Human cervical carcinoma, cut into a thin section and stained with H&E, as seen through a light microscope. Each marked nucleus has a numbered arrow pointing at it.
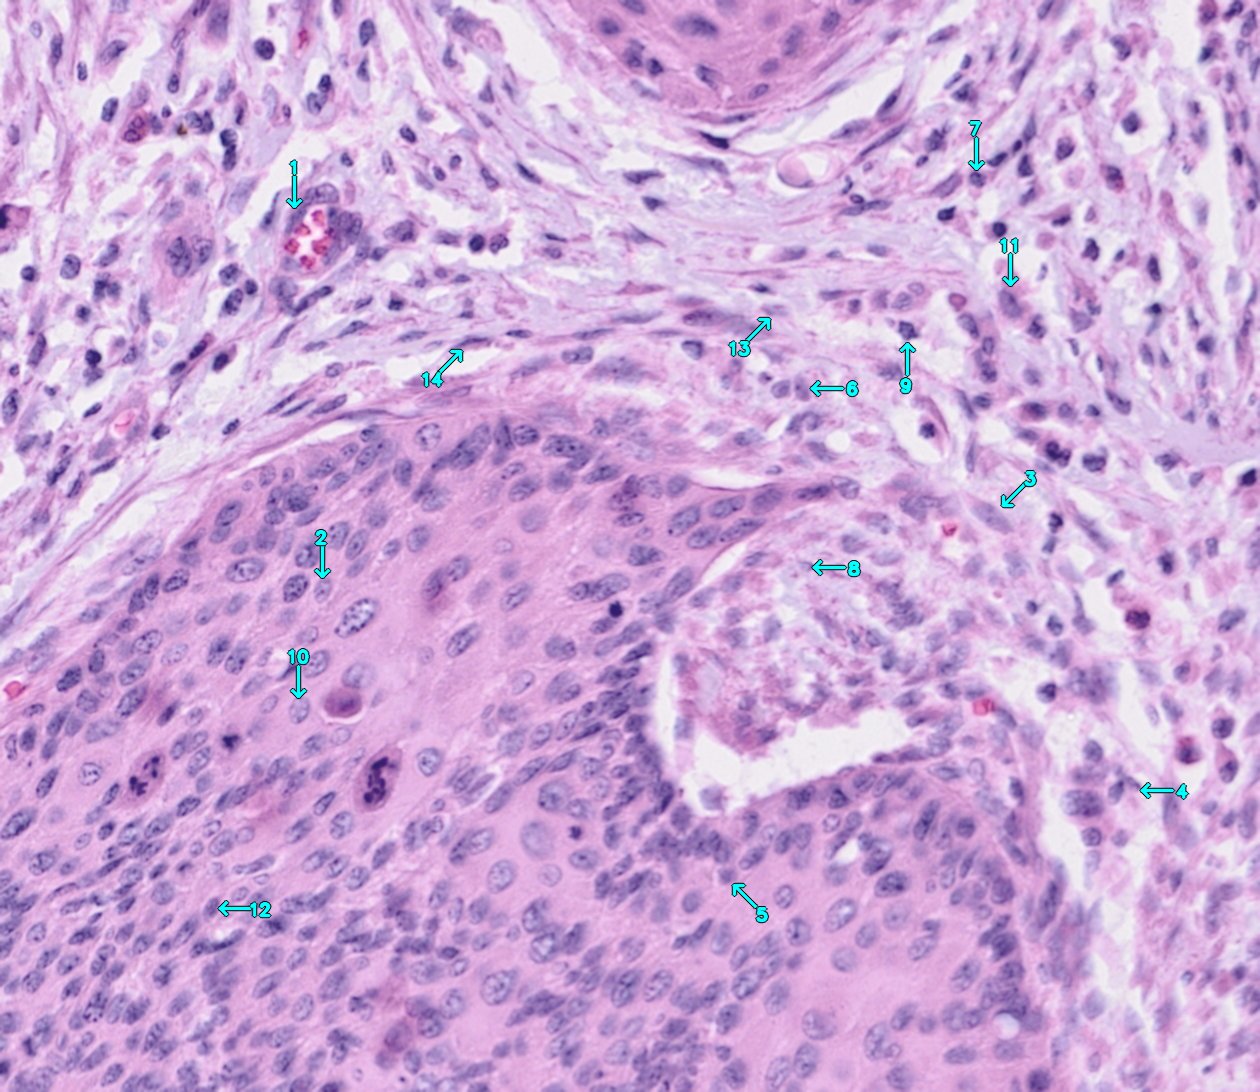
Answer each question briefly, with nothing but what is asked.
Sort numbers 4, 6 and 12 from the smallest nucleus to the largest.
12, 6, 4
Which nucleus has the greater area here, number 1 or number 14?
1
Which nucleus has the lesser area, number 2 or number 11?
2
